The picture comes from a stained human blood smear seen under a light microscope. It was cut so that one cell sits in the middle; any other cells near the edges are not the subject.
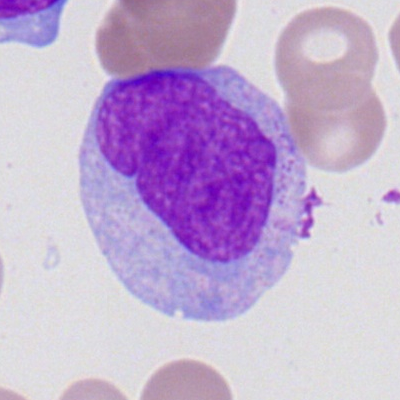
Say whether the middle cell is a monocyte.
yes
